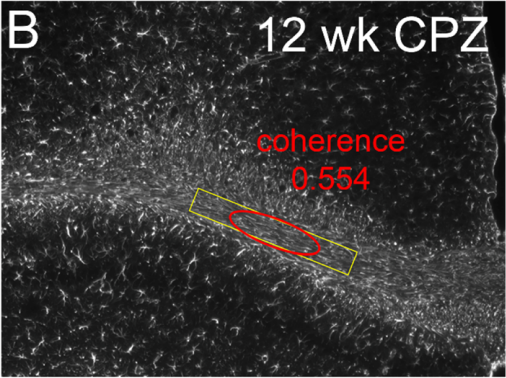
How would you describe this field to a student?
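This is brain tissue with a white matter band densely filled with astrocytes, seen as bright star-like cell bodies and fine processes. Within the band the astrocytes are crowded and their processes are elongated and run largely in the same direction along the band, while the tissue around it has more scattered astrocytes.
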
